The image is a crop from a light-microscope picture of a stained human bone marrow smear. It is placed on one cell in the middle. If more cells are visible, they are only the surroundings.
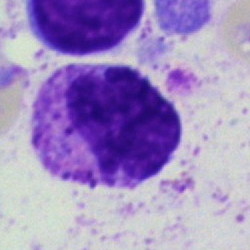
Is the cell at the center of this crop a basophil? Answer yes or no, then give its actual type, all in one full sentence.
Yes, the cell here in the middle is a basophil.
